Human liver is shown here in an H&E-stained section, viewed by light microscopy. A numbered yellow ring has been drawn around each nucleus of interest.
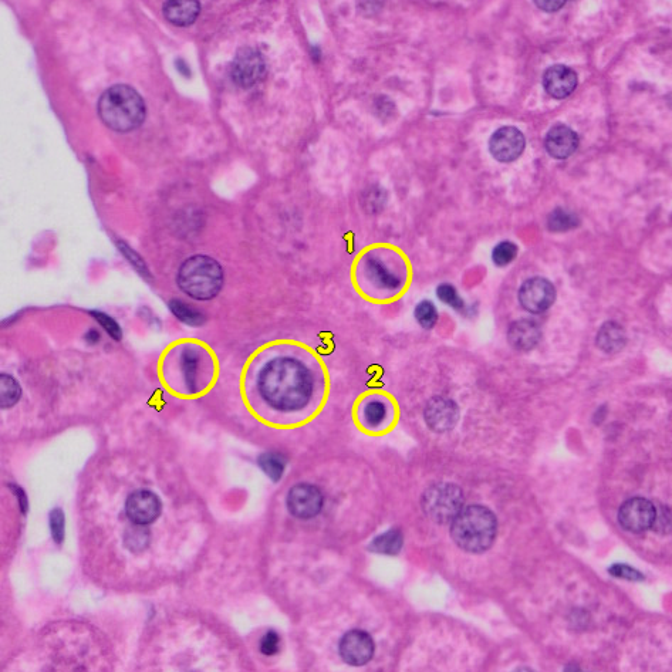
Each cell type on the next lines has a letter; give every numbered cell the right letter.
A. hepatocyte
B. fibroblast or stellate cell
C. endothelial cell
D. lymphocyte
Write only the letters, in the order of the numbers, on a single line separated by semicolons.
C; D; A; B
